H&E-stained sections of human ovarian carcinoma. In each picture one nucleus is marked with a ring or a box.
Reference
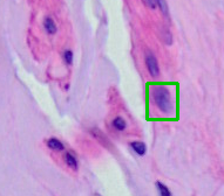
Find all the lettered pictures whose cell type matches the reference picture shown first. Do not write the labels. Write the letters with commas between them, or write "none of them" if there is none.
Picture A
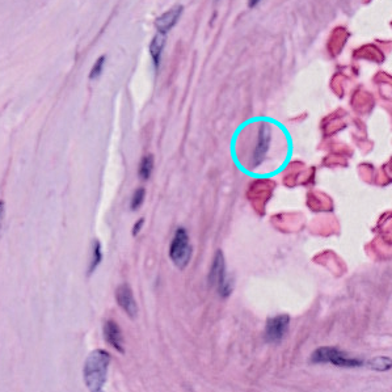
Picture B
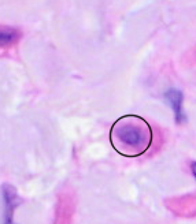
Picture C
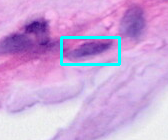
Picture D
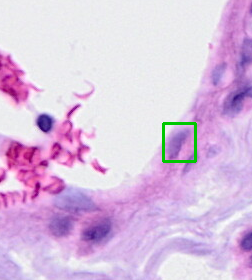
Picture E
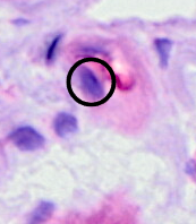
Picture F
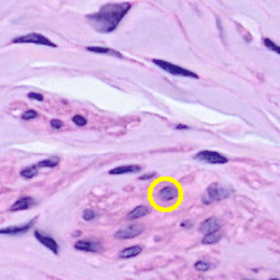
B, C, F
